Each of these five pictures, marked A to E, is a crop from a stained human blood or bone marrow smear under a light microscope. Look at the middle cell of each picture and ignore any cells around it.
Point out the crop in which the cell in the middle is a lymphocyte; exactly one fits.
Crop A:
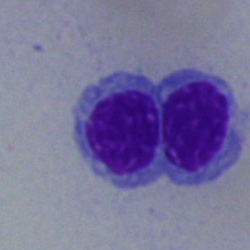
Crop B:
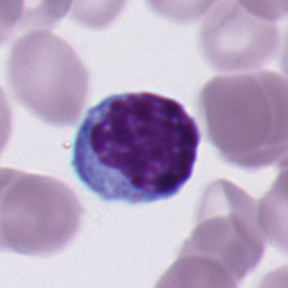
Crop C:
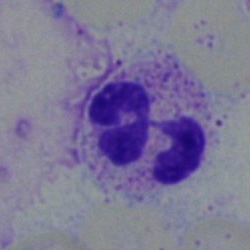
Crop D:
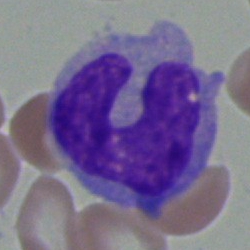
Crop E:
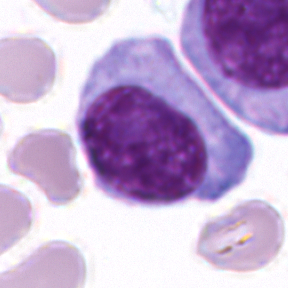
B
